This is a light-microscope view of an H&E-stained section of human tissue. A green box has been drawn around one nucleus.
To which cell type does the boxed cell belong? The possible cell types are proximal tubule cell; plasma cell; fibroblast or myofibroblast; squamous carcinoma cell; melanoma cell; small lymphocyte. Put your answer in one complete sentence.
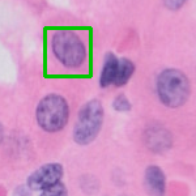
The boxed cell appears to be a proximal tubule cell.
